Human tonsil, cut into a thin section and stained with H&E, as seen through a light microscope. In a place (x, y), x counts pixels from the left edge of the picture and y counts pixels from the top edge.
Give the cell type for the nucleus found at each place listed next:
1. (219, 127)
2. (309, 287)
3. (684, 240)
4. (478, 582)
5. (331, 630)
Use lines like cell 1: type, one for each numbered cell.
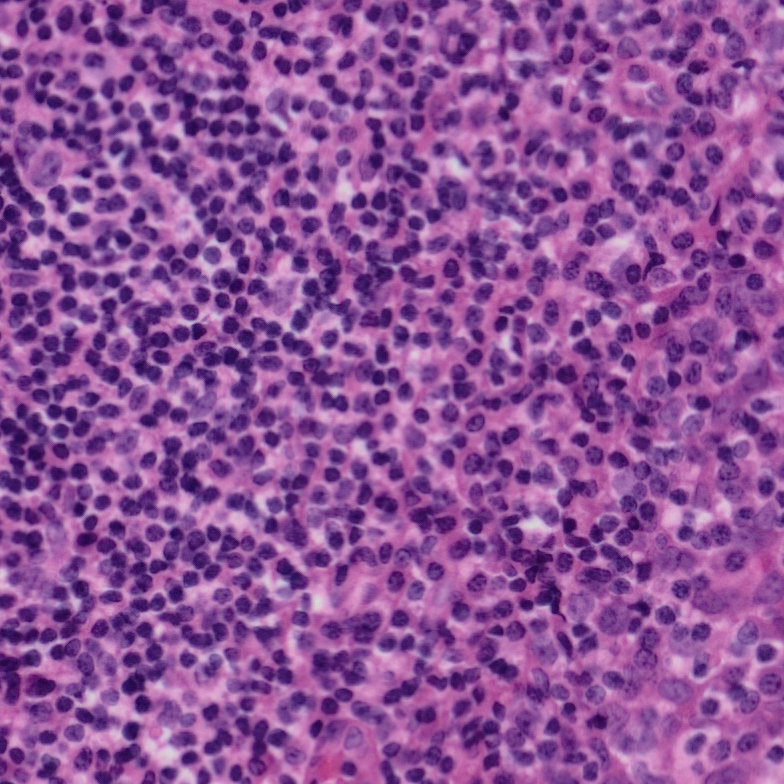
cell 1: small lymphocyte
cell 2: small lymphocyte
cell 3: plasma cell
cell 4: plasma cell
cell 5: plasma cell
